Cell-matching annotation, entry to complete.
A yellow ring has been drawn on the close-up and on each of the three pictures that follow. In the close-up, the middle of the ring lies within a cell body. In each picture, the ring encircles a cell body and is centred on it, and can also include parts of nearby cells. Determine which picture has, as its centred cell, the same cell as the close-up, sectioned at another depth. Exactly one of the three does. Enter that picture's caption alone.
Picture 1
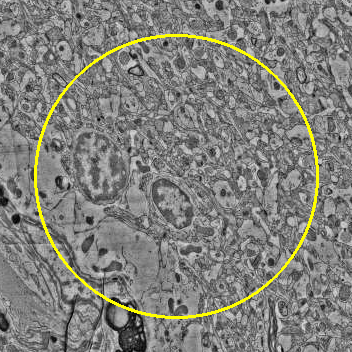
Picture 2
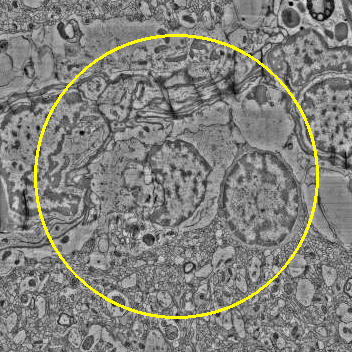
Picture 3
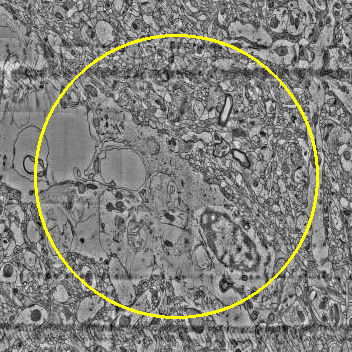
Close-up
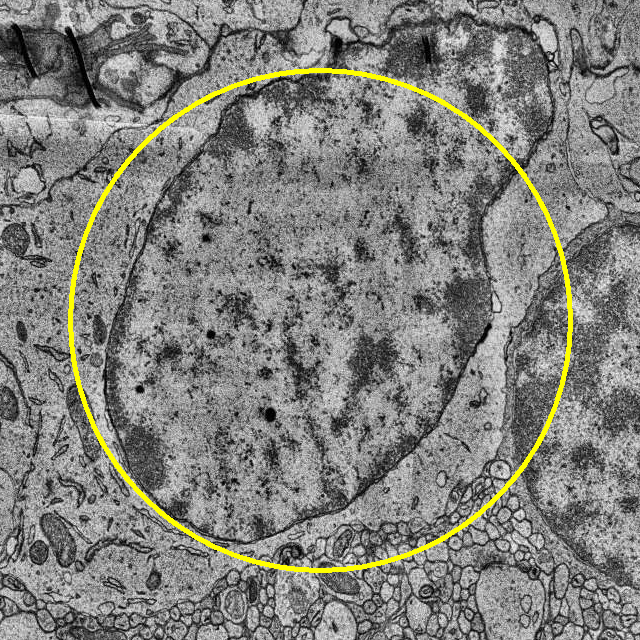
Picture 2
